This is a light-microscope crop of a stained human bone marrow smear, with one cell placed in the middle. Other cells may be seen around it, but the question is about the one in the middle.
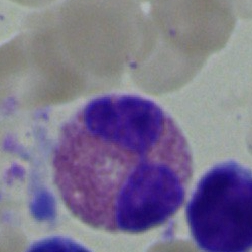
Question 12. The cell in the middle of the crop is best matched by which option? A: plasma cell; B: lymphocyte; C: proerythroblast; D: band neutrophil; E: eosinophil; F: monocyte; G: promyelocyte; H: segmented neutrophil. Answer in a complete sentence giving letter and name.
Well, the cell in the middle is an eosinophil, making option E right.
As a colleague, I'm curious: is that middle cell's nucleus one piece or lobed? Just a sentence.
Counting the nuclear lobes gives a total of at least two.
